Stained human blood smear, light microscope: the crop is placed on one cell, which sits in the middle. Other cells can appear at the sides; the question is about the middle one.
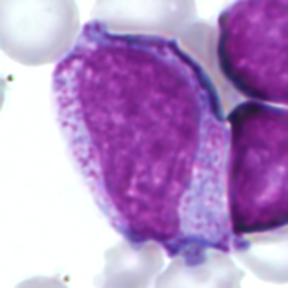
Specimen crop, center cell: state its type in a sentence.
The cell at the central position in this crop is a promyelocyte.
